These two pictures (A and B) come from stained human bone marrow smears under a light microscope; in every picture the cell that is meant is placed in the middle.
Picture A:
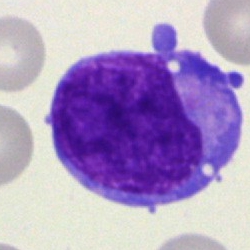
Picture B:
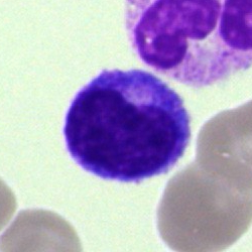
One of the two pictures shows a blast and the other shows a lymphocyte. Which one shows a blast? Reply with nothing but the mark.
A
